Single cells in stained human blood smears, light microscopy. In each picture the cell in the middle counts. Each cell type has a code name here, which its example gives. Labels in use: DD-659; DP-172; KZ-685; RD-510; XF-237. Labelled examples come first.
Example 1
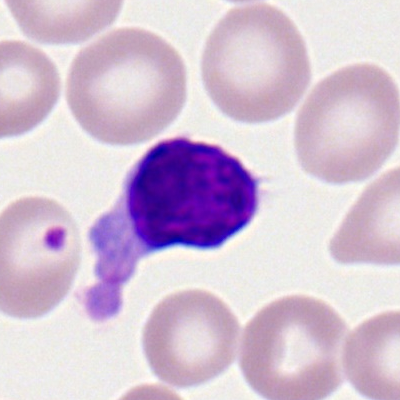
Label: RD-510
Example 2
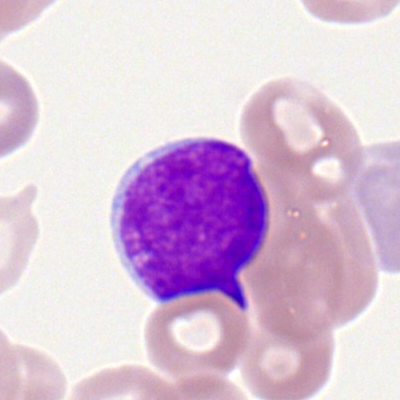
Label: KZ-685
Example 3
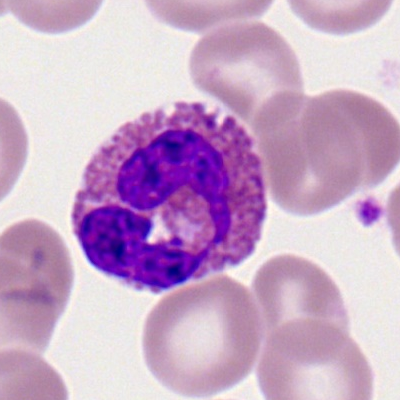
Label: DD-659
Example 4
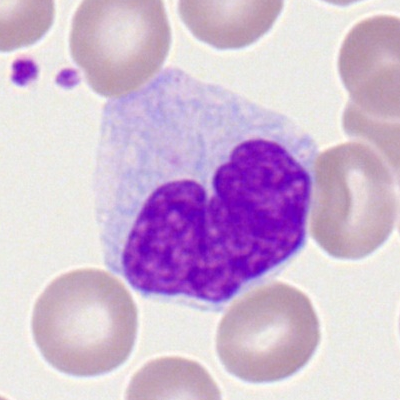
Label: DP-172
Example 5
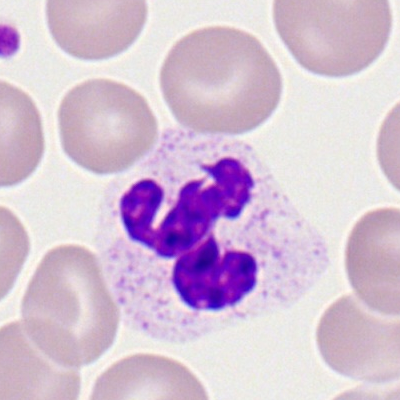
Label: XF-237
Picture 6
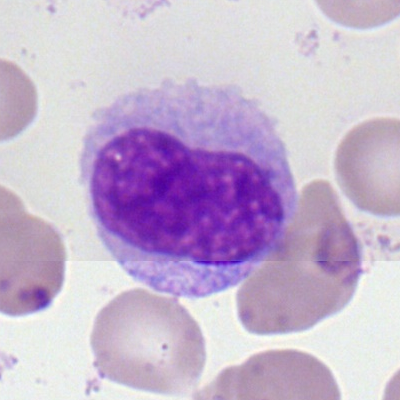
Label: DP-172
